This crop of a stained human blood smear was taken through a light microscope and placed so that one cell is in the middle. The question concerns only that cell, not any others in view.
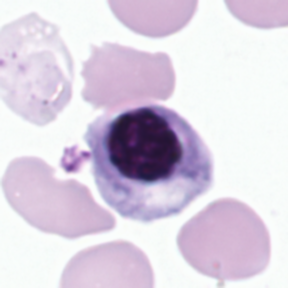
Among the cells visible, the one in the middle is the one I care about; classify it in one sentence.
What sits at the centre of this crop is a normoblast.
